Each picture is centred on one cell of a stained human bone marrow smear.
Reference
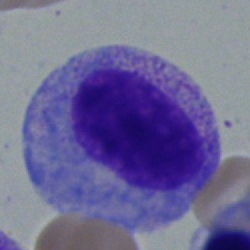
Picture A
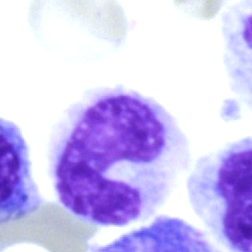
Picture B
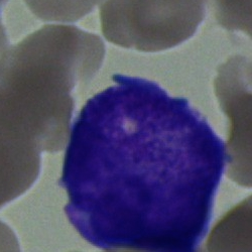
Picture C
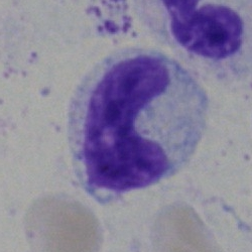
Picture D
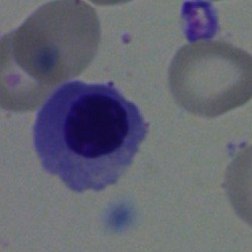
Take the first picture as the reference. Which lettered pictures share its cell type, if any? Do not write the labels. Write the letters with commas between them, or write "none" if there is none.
none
